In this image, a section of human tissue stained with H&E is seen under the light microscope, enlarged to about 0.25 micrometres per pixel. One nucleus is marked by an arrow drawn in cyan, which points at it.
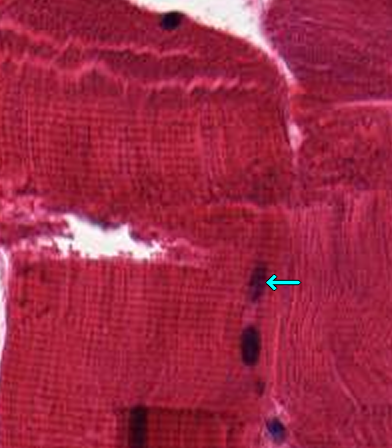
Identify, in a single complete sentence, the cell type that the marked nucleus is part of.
Within the picture, the marked nucleus belongs to a skeletal muscle fibre.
